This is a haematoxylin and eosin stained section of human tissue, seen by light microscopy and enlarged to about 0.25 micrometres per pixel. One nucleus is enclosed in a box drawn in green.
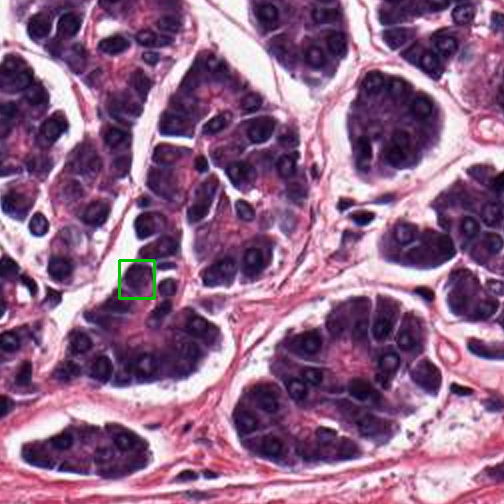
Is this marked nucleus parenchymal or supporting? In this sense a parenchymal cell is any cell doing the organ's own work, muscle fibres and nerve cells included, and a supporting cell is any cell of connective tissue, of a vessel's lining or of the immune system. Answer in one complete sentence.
The marked nucleus belongs to one of the parenchymal cells, namely a pancreatic acinar cell.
